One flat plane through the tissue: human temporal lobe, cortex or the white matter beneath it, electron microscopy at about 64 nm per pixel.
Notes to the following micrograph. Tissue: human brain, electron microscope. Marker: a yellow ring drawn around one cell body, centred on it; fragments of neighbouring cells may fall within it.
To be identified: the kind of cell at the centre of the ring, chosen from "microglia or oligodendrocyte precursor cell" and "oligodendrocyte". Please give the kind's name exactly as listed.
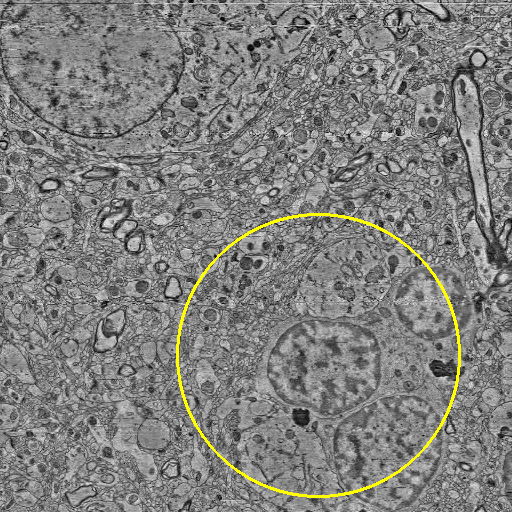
oligodendrocyte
